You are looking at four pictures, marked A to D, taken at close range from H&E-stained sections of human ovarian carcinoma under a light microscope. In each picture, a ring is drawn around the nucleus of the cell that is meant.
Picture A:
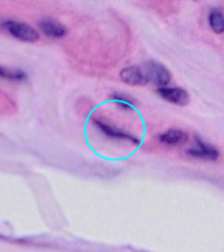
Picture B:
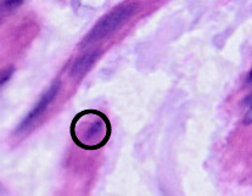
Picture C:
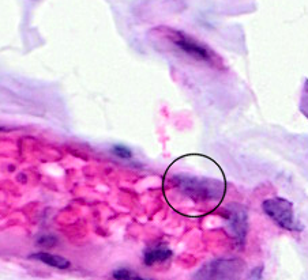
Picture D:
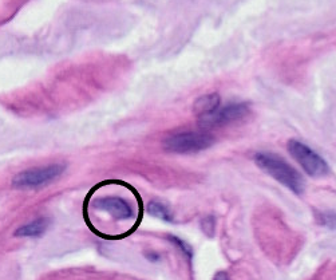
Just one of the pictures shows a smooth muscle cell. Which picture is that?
B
